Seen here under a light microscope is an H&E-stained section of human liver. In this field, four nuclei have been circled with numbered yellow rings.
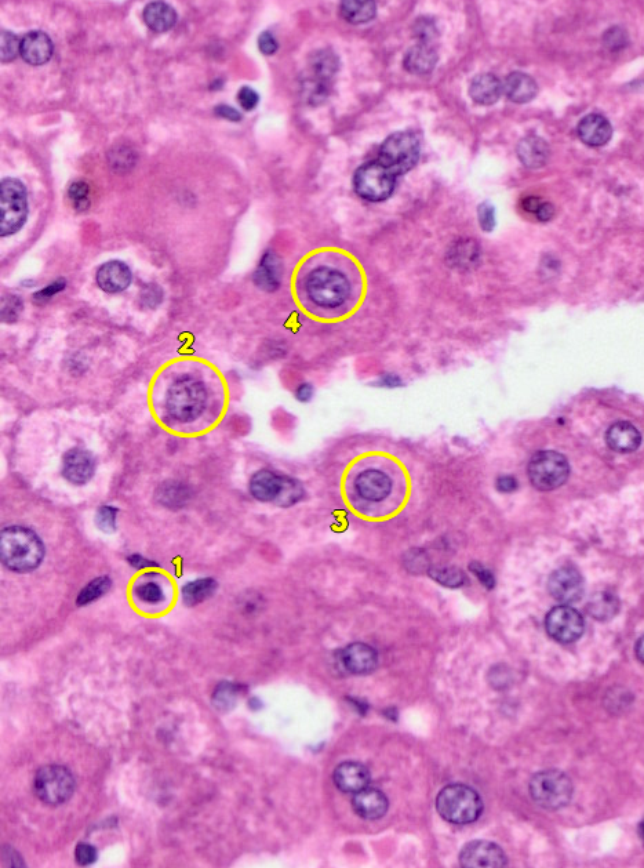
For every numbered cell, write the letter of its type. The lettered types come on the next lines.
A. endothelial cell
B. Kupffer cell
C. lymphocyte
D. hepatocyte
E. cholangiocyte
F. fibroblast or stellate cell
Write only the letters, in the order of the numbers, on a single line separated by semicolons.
C; D; D; D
